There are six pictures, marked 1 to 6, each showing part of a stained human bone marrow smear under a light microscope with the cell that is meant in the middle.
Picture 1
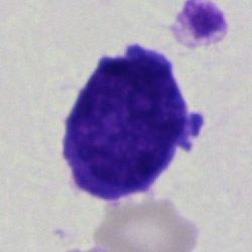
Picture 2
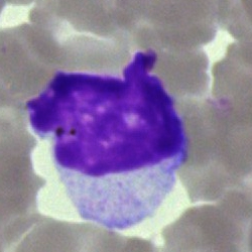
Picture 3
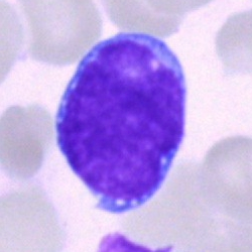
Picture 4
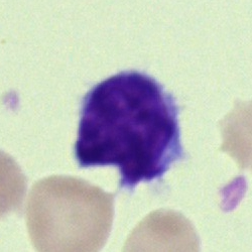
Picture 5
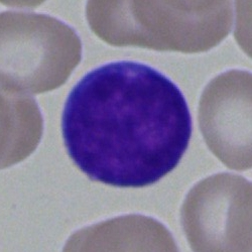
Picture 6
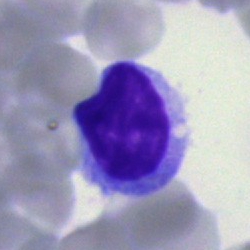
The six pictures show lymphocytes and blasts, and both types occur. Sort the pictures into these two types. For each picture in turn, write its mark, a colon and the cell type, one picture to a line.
1: blast
2: blast
3: blast
4: lymphocyte
5: blast
6: lymphocyte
